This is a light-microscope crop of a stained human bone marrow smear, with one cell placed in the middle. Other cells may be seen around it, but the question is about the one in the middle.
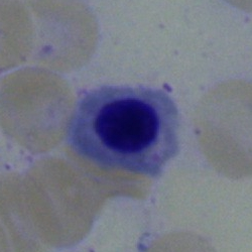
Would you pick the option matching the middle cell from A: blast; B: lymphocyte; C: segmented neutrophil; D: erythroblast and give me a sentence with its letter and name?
The right choice is option D: the cell in the middle is an erythroblast.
